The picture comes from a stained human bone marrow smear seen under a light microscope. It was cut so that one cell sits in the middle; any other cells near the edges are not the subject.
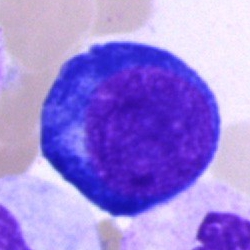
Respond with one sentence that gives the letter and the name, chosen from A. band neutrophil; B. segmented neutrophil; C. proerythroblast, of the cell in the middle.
Option C gets it right: the cell in the middle is a proerythroblast.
